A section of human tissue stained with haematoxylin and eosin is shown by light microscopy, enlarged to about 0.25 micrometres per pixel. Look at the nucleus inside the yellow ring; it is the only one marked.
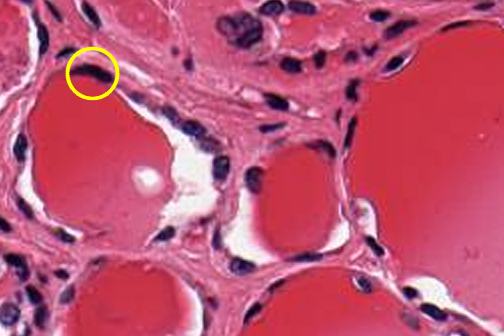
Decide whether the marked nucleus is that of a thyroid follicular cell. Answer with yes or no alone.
yes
